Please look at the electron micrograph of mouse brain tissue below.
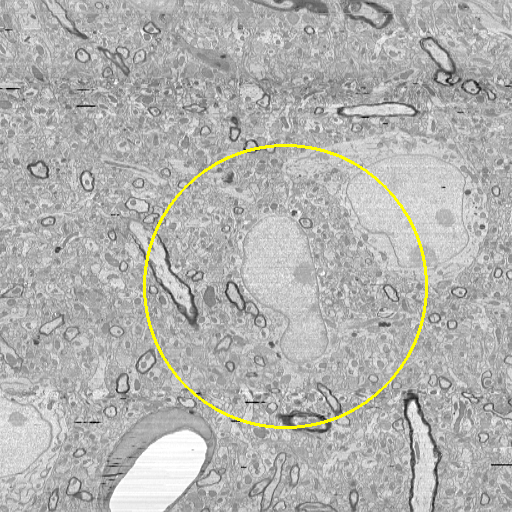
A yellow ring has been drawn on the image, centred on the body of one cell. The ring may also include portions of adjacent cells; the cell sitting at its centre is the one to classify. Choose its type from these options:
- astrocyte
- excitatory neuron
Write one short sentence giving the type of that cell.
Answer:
The cell in the middle of the ring is an astrocyte.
